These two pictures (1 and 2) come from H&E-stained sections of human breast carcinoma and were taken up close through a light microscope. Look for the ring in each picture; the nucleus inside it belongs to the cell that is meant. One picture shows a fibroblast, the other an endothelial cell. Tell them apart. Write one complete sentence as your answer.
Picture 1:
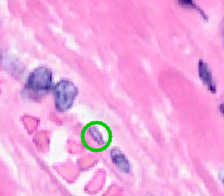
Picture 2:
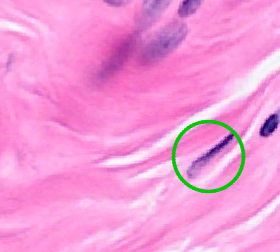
In picture 1 the cell is an endothelial cell; in picture 2, a fibroblast.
